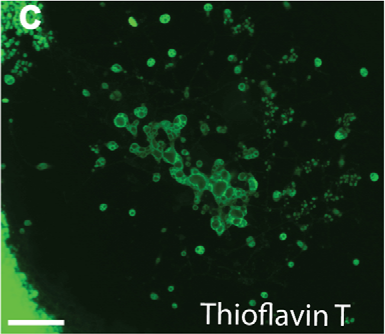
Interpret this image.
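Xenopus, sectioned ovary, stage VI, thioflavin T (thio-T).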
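Nucleus of a large oocyte, its interior dark, scattered with discrete round green particles of varied size. Near the centre the particles gather into an irregular cluster of larger ring-like bodies with bright rims and dimmer centres. Smaller dots are strewn loosely around this cluster and toward the periphery. Faint fine threadlike texture lies in the dark background. At the left edge a band of bright, uniformly green cytoplasm borders the nucleus, sharply separated from the dark nuclear area.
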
